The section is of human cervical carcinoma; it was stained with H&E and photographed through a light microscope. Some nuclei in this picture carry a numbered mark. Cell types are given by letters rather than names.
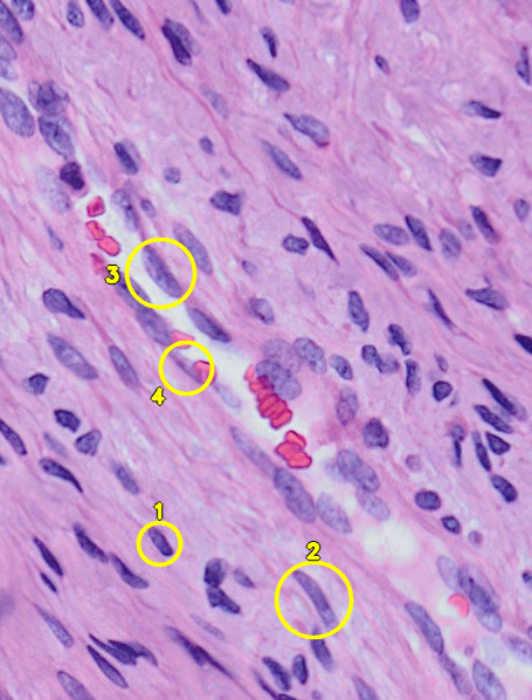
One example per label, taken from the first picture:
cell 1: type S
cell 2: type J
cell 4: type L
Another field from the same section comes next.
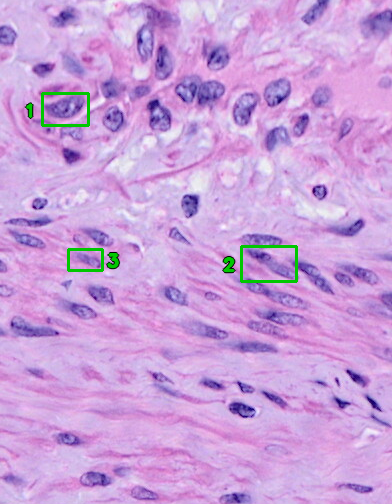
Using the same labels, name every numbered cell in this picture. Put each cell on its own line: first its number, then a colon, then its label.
1: type L
2: type J
3: type J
